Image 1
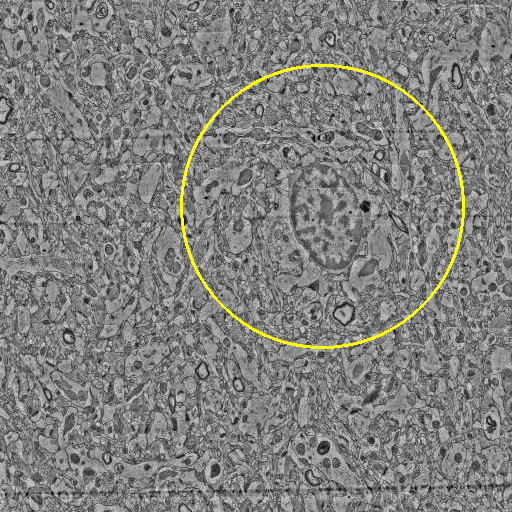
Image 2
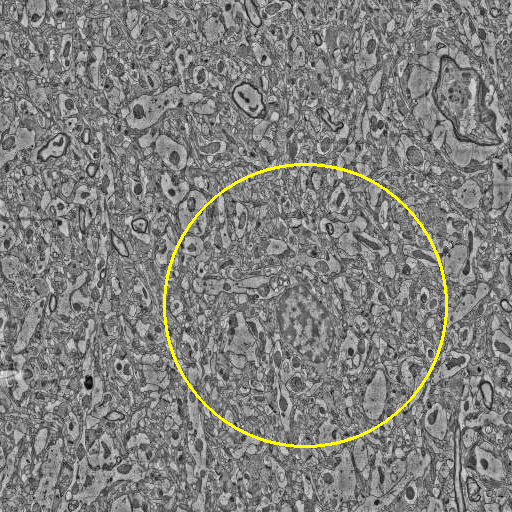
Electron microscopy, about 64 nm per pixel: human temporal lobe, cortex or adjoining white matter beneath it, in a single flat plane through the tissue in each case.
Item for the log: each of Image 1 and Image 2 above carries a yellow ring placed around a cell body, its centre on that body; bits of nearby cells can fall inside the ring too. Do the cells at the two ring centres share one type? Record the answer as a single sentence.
Yes, the two cells at the ring centres in Image 1 and Image 2 share one type.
